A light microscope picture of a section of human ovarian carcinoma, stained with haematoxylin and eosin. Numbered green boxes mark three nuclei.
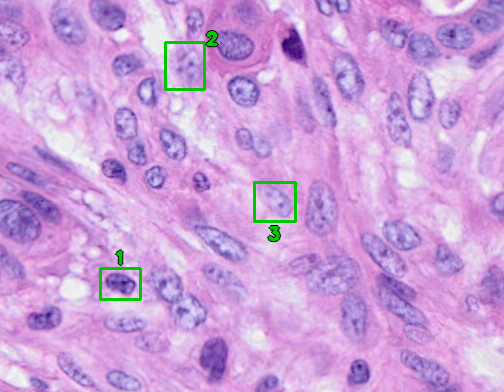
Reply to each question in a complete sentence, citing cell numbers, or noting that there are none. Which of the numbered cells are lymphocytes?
No marked cell except number 1 is a lymphocyte.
